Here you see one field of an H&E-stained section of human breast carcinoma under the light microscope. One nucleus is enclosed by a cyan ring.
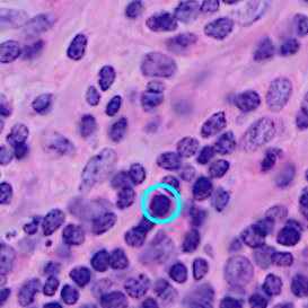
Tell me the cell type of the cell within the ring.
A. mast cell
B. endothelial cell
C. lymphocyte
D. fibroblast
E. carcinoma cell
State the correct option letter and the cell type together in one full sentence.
Here the cell within the ring is a lymphocyte, which makes option C correct.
